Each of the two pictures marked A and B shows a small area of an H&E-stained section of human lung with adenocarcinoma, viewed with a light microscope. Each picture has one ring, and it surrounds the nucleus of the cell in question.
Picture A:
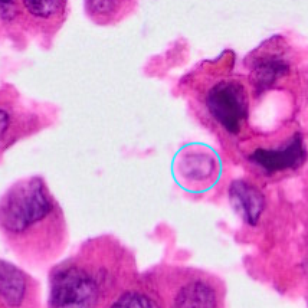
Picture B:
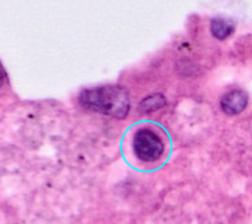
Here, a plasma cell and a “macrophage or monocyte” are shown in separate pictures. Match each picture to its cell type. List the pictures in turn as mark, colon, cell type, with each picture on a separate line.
A: macrophage or monocyte
B: plasma cell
